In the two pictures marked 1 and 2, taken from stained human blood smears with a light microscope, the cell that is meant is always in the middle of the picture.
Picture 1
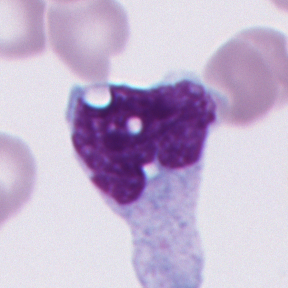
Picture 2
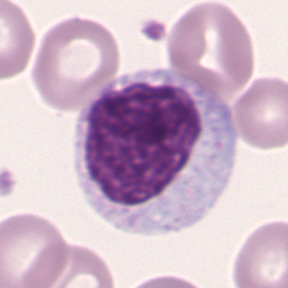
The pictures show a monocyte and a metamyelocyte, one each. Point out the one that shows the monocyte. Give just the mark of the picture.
1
